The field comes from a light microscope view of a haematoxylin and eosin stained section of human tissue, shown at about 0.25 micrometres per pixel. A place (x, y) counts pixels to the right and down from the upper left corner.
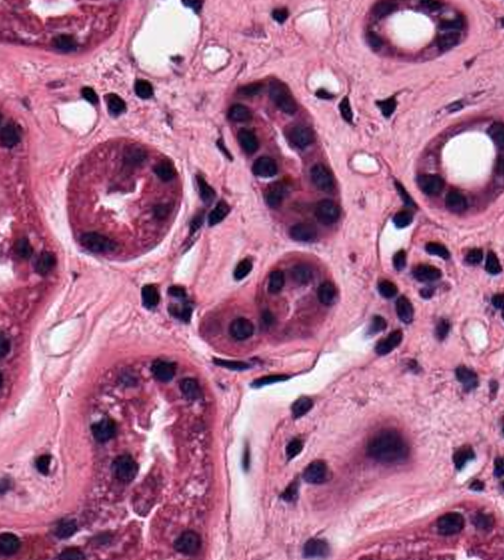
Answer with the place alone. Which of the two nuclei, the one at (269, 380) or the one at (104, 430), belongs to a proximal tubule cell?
(104, 430)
